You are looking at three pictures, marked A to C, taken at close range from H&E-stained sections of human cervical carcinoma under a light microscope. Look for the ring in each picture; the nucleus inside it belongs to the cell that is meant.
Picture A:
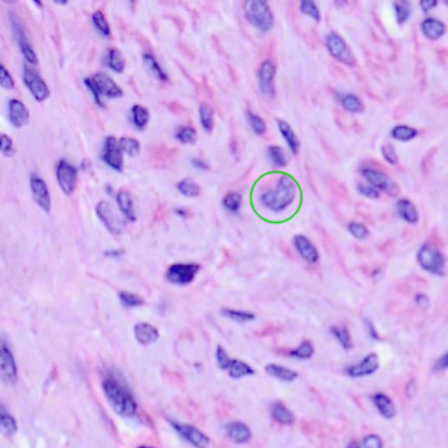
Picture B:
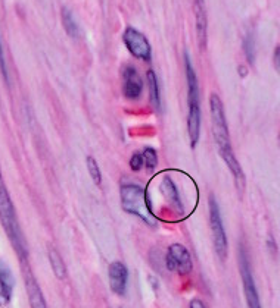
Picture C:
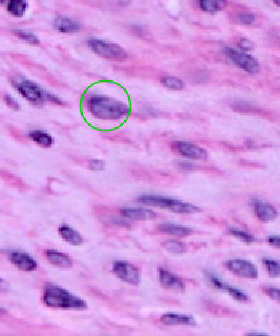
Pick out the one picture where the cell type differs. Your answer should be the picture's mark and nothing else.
B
